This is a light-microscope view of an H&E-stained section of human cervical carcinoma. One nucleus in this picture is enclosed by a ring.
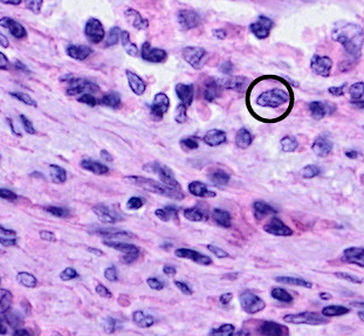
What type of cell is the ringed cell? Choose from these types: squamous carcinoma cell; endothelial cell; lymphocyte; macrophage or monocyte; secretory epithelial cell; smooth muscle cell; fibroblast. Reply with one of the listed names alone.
lymphocyte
